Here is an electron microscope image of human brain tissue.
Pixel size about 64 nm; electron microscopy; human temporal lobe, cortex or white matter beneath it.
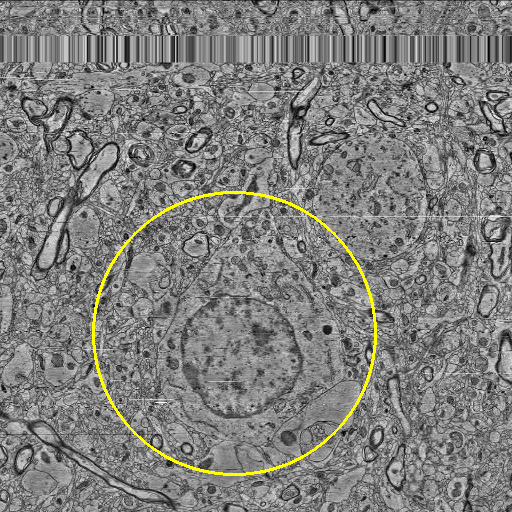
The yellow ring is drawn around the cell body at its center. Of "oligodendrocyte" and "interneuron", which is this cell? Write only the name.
interneuron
